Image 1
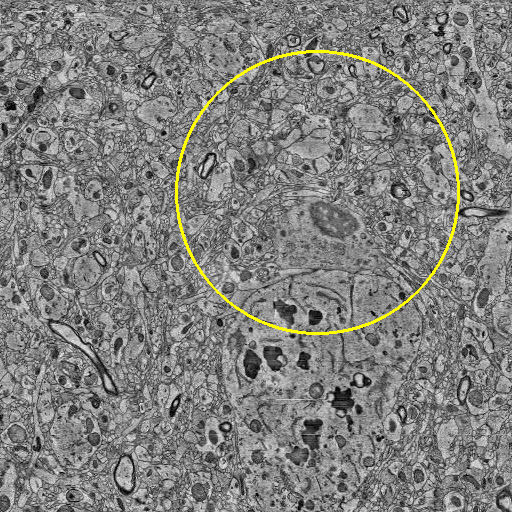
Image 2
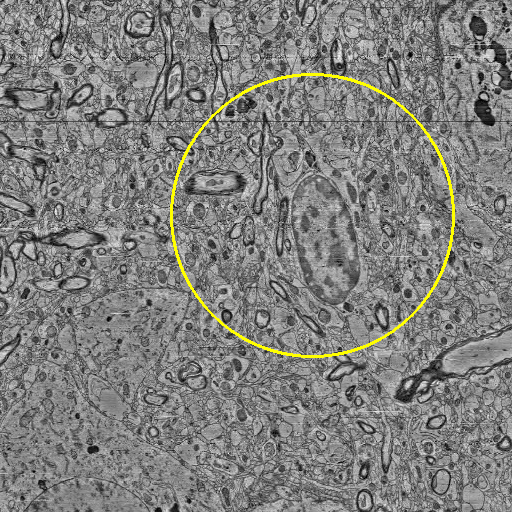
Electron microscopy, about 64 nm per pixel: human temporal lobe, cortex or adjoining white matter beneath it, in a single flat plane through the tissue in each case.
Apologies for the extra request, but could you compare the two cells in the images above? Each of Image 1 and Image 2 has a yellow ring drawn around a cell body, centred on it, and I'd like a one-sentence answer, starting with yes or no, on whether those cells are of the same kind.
No, the two cells are of two kinds.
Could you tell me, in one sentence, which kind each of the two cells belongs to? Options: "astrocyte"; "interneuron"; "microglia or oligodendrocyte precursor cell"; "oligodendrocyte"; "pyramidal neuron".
At the centre of the first ring sits an oligodendrocyte, and at the centre of the second sits a microglial cell or oligodendrocyte precursor cell.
